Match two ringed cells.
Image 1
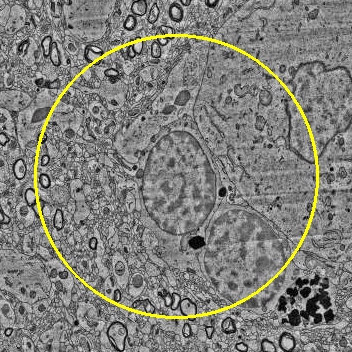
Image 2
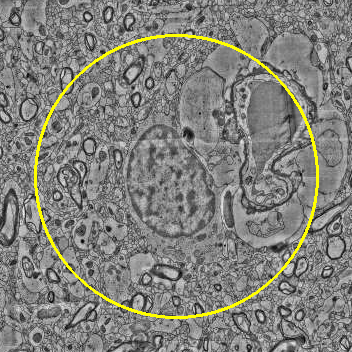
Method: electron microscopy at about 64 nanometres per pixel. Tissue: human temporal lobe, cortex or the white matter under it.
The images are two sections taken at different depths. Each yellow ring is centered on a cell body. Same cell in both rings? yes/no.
no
